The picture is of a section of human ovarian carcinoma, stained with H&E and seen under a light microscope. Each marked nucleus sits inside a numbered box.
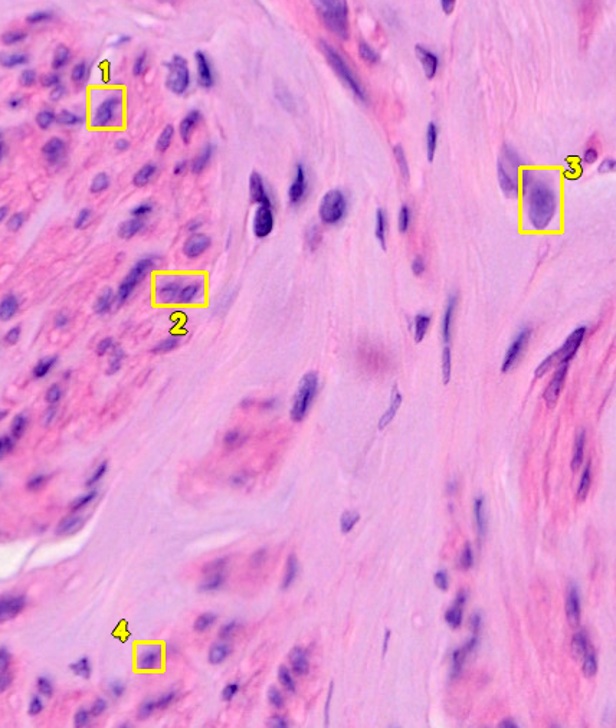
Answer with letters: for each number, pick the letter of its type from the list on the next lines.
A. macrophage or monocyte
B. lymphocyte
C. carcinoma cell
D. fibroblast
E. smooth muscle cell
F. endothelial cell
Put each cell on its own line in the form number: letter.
1: E
2: E
3: D
4: E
